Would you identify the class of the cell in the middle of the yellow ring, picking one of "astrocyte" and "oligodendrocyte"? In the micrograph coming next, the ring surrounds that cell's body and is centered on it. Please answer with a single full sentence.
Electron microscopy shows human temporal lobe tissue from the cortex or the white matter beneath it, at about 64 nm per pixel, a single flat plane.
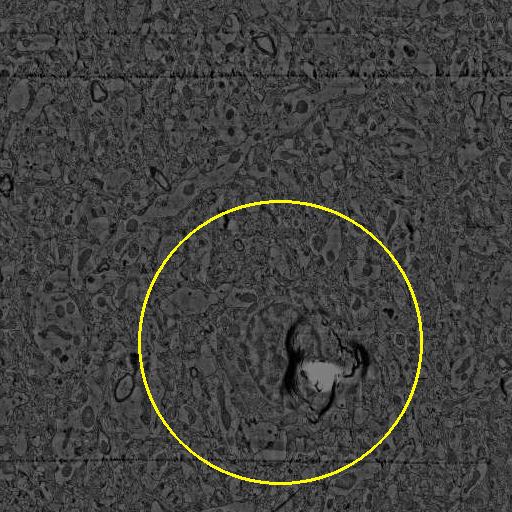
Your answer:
In the micrograph, it is an oligodendrocyte whose body lies at the ring's center.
